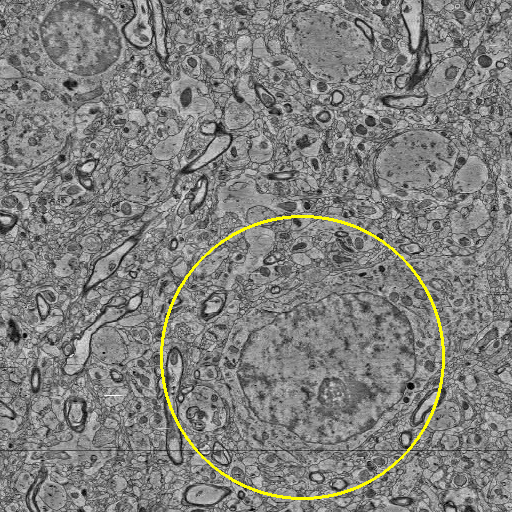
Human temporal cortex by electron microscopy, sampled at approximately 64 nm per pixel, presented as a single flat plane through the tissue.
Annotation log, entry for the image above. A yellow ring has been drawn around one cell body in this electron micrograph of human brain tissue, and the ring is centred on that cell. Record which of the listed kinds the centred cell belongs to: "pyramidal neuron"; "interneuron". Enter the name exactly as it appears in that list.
interneuron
